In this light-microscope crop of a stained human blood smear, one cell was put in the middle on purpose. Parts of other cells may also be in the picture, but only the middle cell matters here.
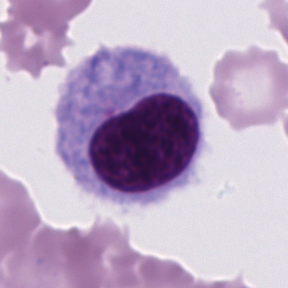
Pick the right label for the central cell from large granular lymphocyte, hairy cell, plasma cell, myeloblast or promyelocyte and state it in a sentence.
The centrally positioned cell in the crop represents a hairy cell.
